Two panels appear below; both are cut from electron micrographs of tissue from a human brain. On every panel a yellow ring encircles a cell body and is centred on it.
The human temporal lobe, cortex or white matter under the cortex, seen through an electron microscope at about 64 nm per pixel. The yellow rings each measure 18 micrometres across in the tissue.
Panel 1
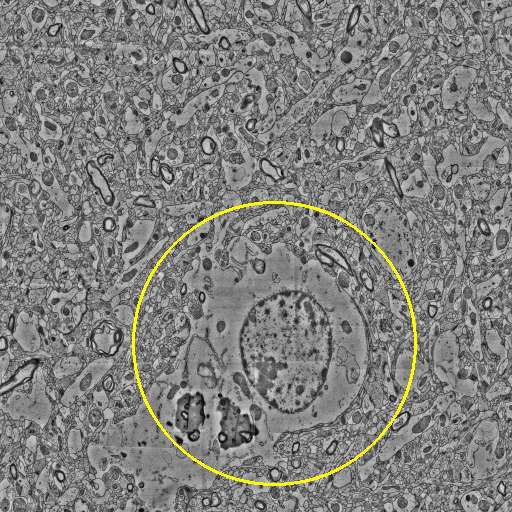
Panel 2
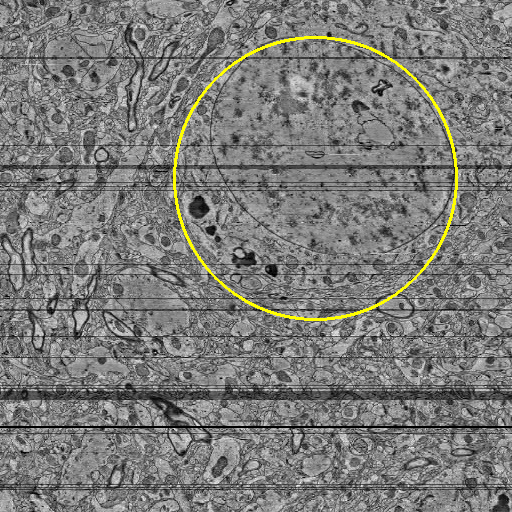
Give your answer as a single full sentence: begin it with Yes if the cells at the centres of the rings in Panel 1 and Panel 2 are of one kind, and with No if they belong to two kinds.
No, the cells in the middle of the rings in Panels 1 and 2 are of two kinds.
